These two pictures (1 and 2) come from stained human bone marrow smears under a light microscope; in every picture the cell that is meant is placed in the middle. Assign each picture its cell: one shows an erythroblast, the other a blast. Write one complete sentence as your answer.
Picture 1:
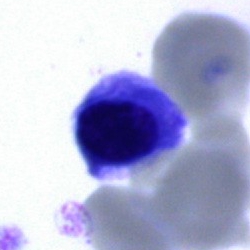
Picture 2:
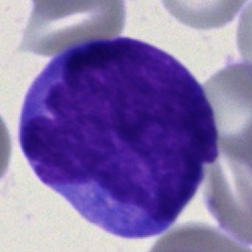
Picture 1 shows an erythroblast and picture 2 shows a blast.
